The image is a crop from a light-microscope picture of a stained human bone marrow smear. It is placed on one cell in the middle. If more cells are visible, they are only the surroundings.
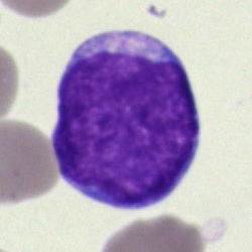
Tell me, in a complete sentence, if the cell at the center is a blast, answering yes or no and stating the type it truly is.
Yes, the cell that the crop is centred on is a blast.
